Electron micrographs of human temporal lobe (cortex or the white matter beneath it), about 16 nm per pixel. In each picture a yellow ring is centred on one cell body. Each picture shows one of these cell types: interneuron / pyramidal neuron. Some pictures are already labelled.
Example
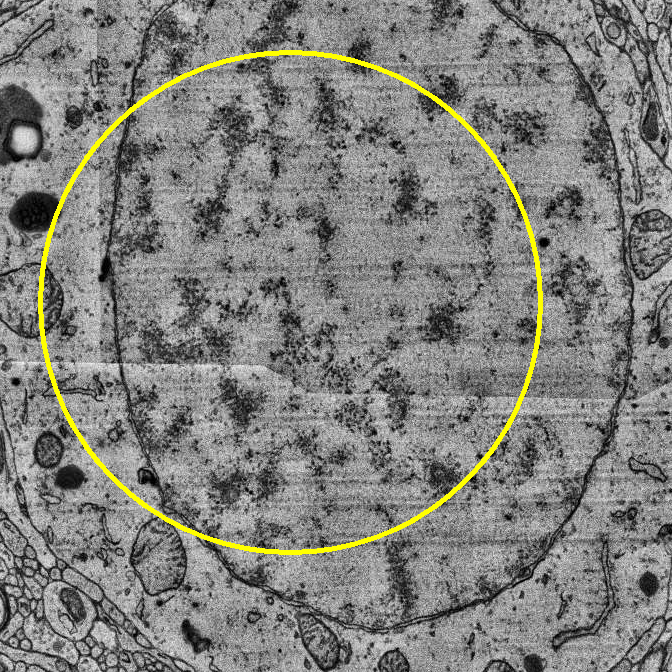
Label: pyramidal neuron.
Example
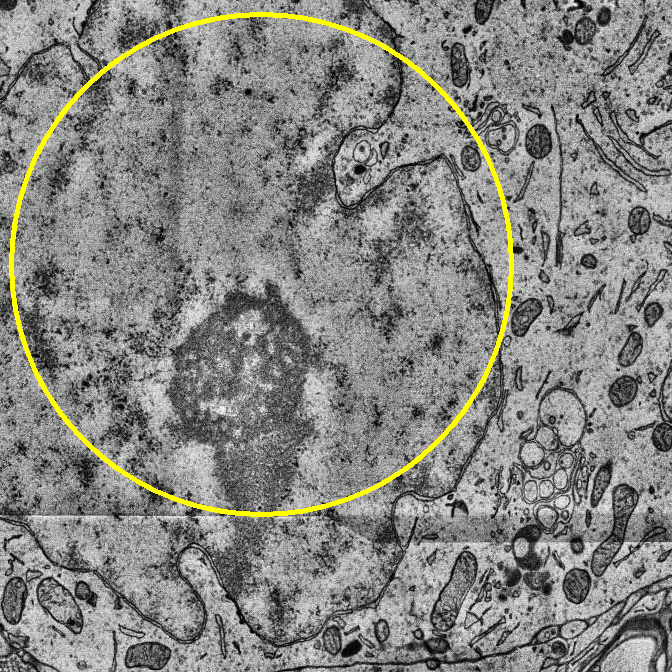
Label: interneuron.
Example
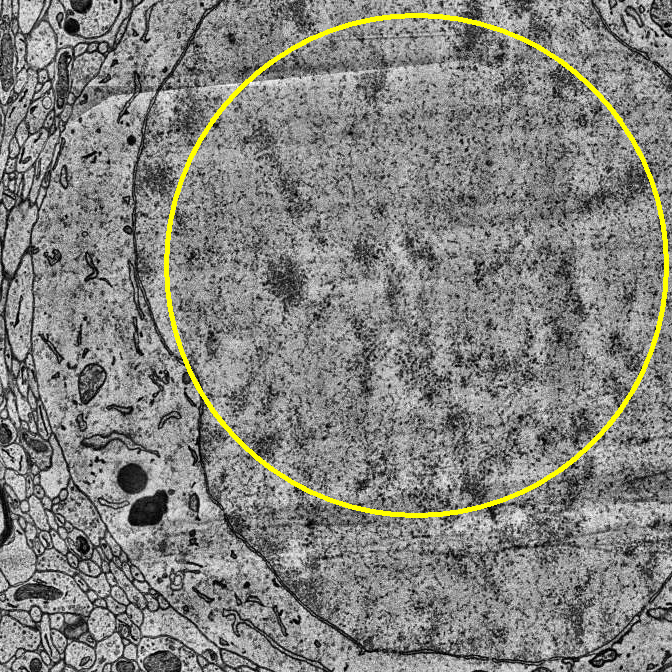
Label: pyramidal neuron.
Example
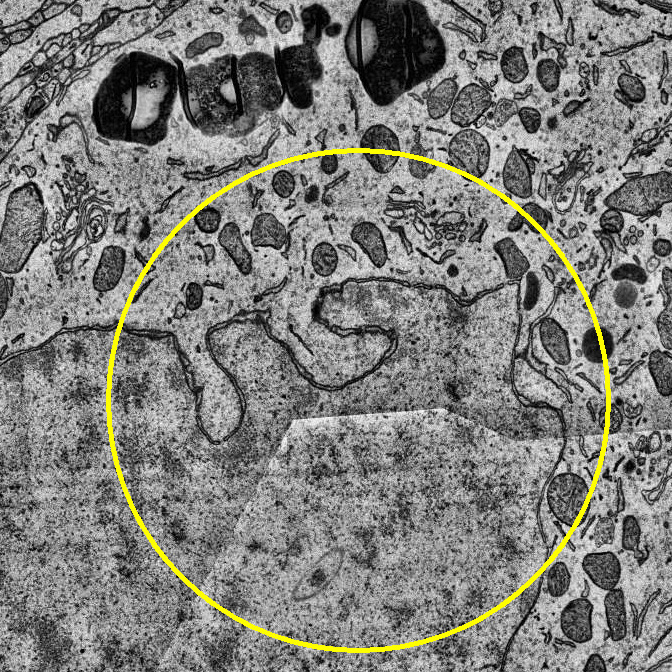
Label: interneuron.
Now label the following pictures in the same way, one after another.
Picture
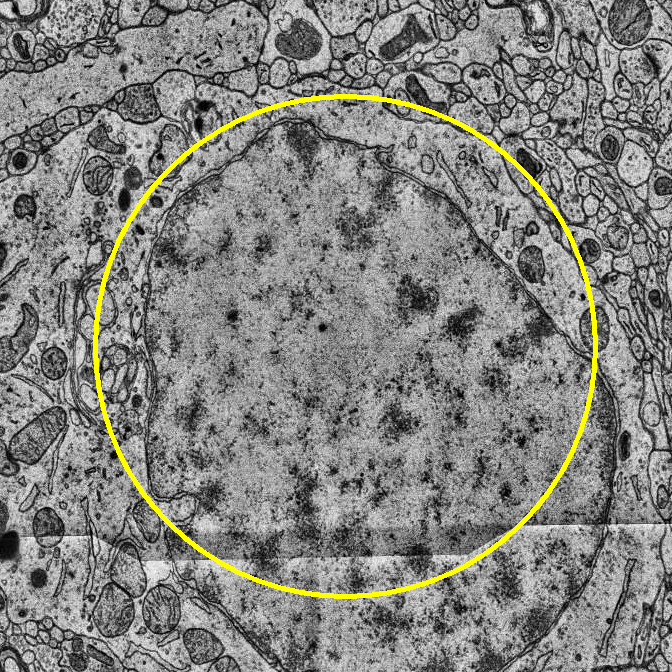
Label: interneuron.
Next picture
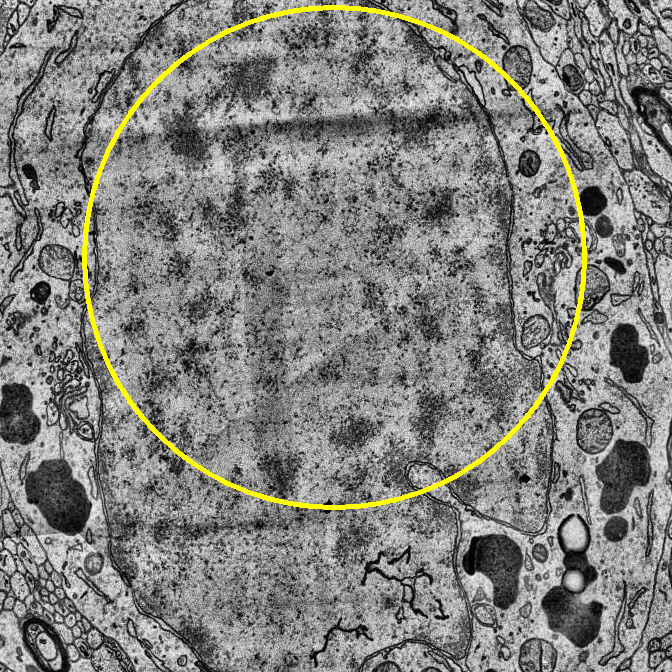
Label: interneuron.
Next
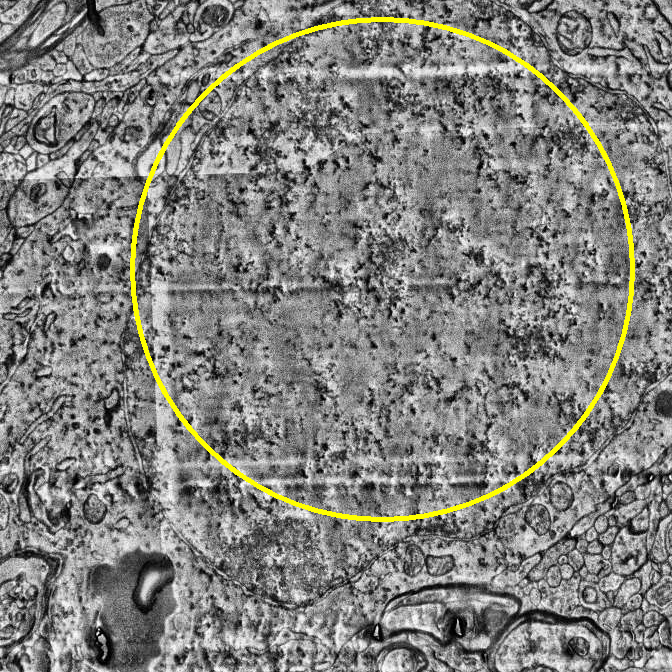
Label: interneuron.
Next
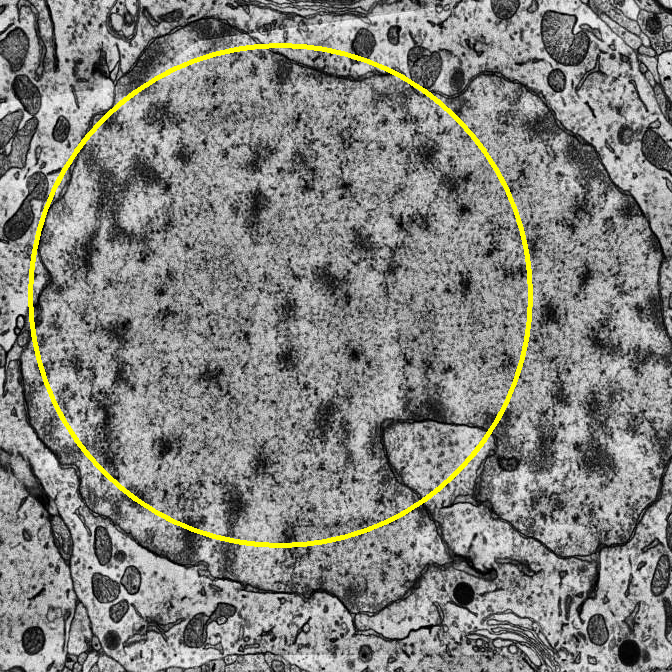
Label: interneuron.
